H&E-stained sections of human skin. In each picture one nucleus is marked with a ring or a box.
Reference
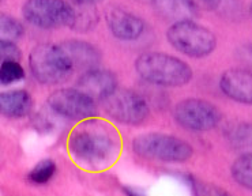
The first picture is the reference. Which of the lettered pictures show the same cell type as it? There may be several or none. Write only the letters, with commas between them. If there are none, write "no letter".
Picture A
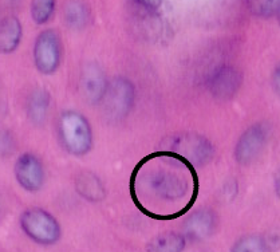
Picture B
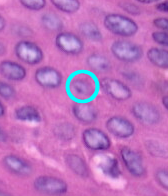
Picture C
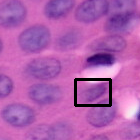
C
